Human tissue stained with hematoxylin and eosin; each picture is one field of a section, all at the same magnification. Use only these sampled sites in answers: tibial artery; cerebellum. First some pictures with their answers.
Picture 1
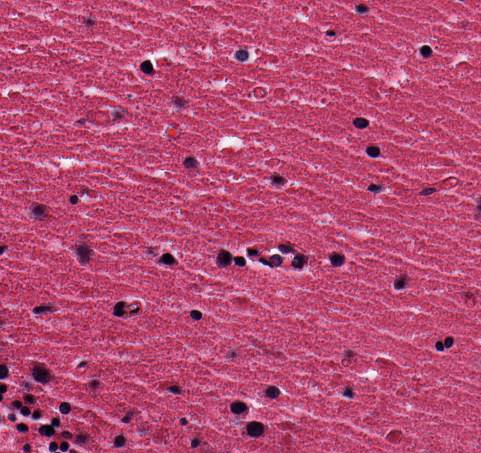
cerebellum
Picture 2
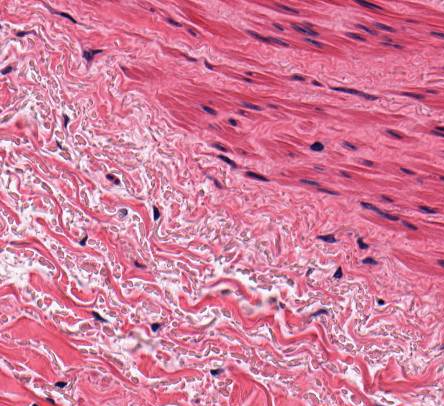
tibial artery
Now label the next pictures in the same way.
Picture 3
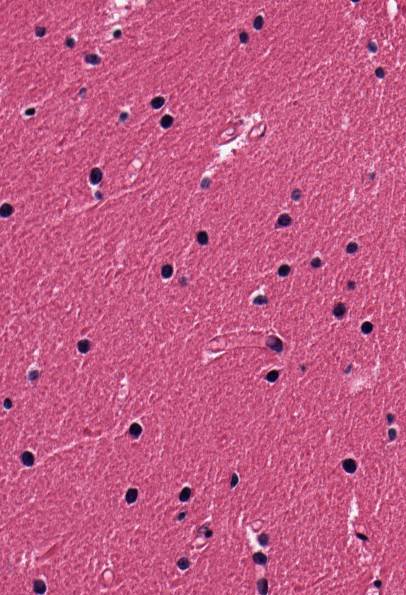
cerebellum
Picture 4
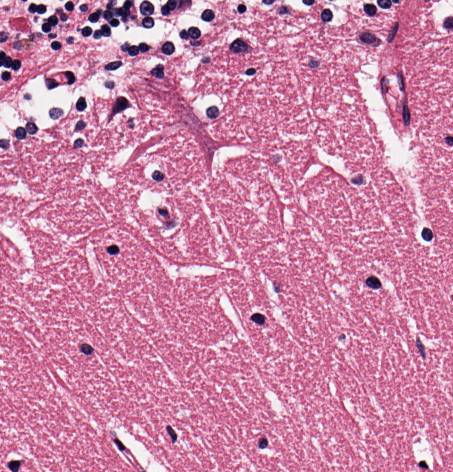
cerebellum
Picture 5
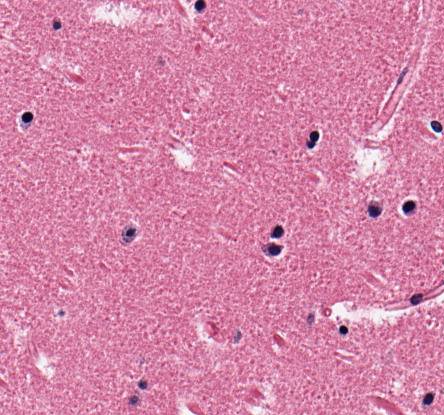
cerebellum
